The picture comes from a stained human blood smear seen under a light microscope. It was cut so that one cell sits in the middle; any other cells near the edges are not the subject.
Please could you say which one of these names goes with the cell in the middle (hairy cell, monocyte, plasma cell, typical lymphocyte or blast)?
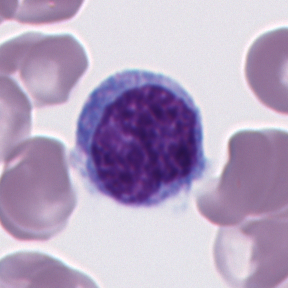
monocyte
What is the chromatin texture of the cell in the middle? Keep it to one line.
Thanks for asking; the chromatin is coarsely clumped.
